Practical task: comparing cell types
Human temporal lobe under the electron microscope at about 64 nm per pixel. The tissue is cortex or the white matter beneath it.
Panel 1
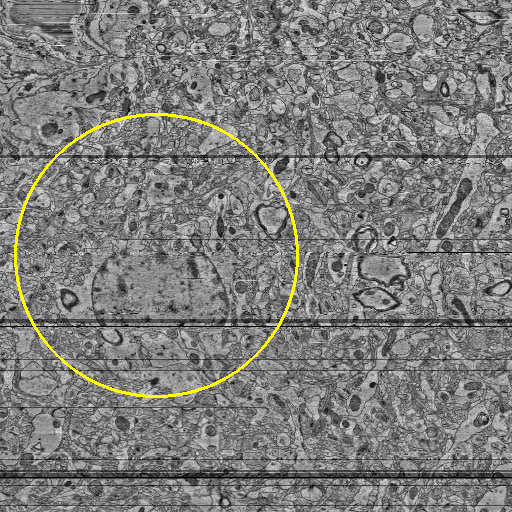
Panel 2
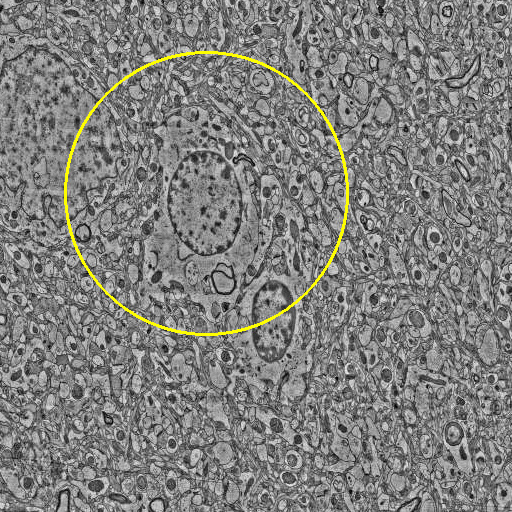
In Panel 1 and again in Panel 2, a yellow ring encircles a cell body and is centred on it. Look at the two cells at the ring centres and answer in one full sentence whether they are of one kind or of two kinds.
The two cells sitting at the ring centres of Panels 1 and 2 are of one kind.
